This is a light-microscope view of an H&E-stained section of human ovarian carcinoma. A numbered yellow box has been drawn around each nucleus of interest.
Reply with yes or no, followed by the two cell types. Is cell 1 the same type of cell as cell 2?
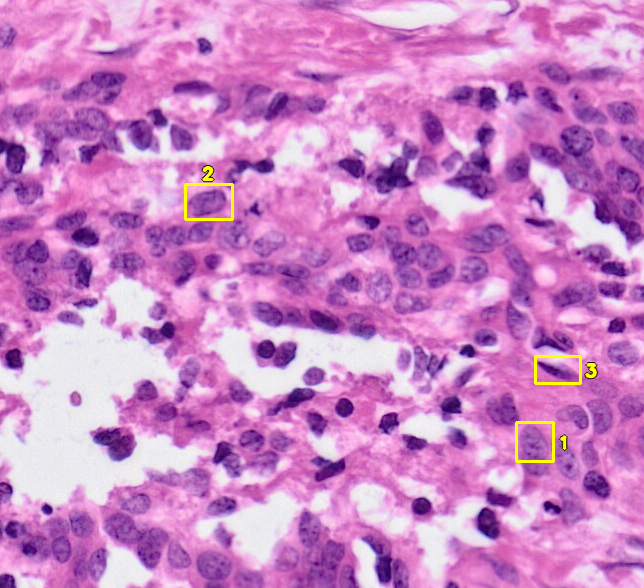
Yes, as for cells 1 and 2, both are carcinoma cells.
